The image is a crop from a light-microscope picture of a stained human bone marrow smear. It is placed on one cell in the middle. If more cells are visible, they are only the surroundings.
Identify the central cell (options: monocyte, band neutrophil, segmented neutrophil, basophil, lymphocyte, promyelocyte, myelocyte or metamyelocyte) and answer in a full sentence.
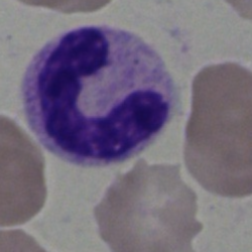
The center cell of this crop is a band neutrophil.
